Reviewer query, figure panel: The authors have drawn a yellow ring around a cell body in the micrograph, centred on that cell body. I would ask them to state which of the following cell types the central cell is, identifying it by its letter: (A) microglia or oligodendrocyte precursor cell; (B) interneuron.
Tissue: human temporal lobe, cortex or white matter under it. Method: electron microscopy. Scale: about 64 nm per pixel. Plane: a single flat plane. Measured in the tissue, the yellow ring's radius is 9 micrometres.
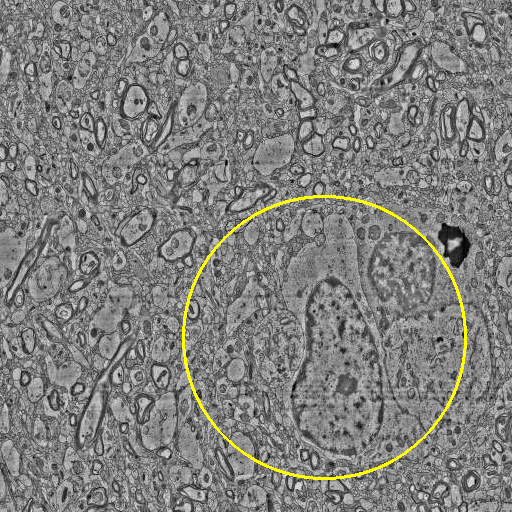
A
